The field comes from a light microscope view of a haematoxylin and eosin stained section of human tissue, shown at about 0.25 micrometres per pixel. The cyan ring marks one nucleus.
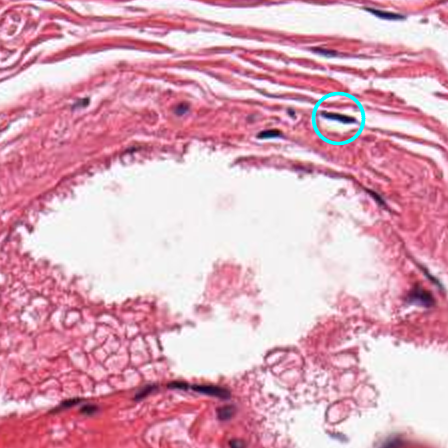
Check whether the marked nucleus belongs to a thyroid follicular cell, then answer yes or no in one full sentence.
No, the marked nucleus is not borne by a thyroid follicular cell; it is borne by a supporting cell.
